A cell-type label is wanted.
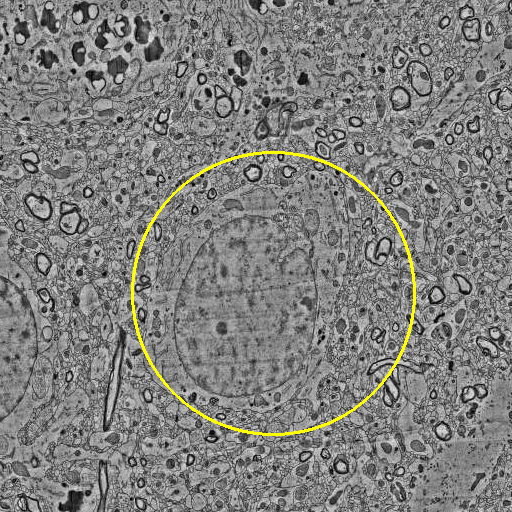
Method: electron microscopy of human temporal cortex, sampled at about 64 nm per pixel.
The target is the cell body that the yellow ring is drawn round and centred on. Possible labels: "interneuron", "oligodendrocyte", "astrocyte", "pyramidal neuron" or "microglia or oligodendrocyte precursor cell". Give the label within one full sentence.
Of the labels offered, the cell in the middle of the yellow ring is an interneuron.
